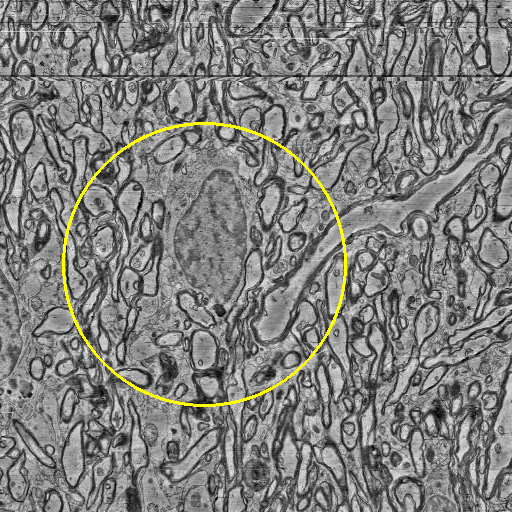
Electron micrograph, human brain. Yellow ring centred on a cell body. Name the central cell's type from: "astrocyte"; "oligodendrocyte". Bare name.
oligodendrocyte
